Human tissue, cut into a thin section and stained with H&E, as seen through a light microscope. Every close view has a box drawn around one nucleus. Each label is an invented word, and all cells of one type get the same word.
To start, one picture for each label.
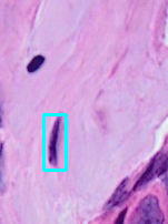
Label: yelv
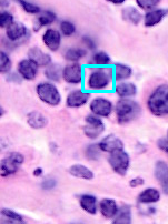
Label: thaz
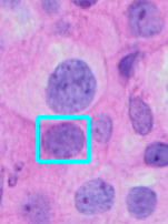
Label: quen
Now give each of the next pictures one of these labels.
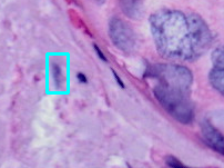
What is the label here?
yelv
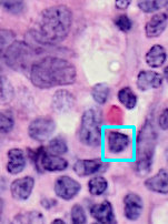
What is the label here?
thaz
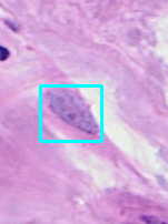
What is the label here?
yelv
